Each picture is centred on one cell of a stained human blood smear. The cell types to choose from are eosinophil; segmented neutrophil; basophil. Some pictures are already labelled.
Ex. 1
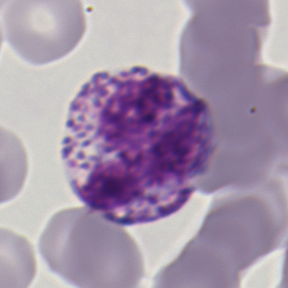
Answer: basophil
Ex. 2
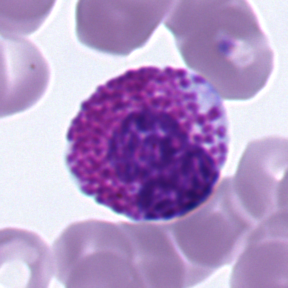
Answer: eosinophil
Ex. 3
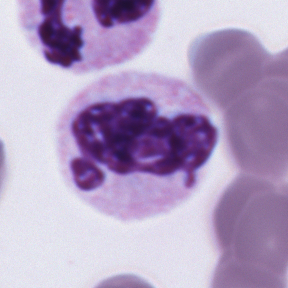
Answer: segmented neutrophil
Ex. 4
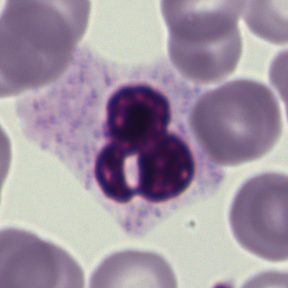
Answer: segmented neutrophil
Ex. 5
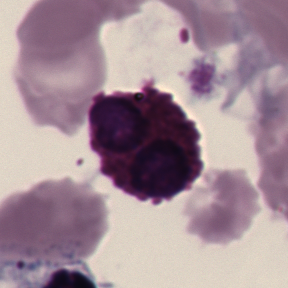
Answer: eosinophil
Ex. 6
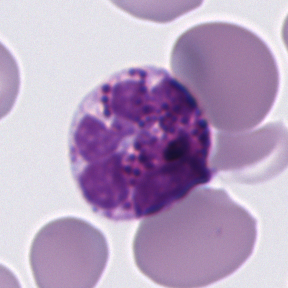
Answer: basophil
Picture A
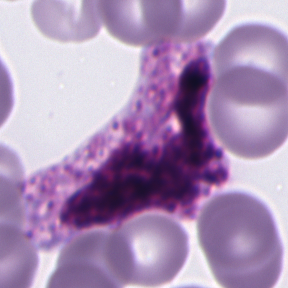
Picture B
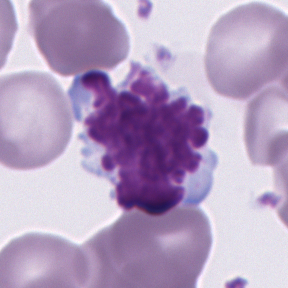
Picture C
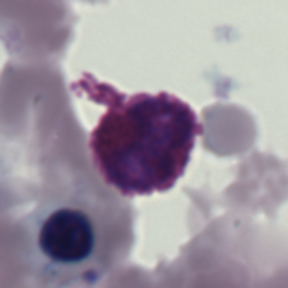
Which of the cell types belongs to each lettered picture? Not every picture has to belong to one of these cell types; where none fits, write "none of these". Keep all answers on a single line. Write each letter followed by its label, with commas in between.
A basophil, B none of these, C eosinophil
